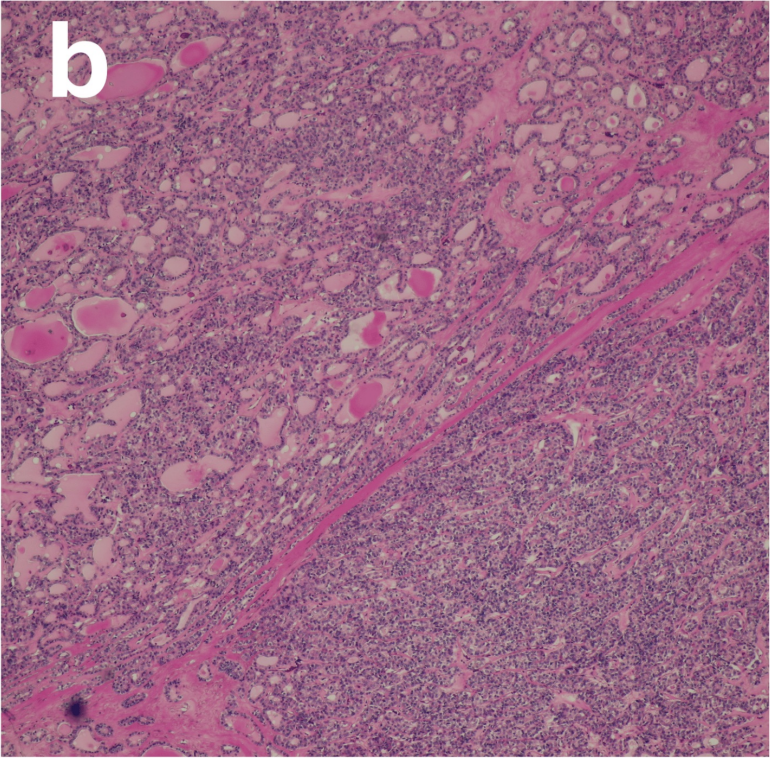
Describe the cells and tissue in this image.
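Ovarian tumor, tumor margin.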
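Many round and elongated lumina are lined by a single layer of small cells, and several contain pink homogeneous material. A pink fibrous band runs diagonally across the field. Beyond it the tissue is more densely cellular with fewer lumina.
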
